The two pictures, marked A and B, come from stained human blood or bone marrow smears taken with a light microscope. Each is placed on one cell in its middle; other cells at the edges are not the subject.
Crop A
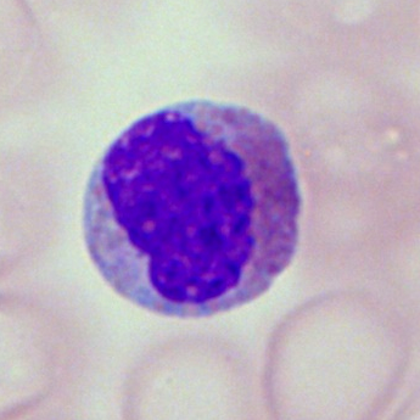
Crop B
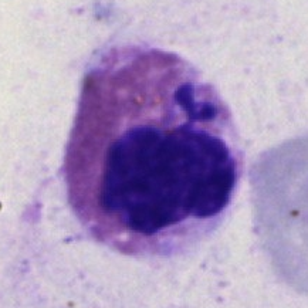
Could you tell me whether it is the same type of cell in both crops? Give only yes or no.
yes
